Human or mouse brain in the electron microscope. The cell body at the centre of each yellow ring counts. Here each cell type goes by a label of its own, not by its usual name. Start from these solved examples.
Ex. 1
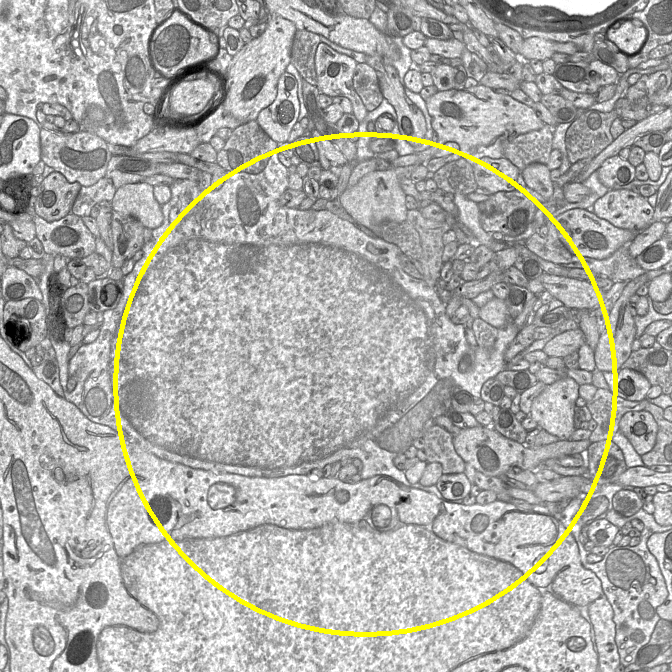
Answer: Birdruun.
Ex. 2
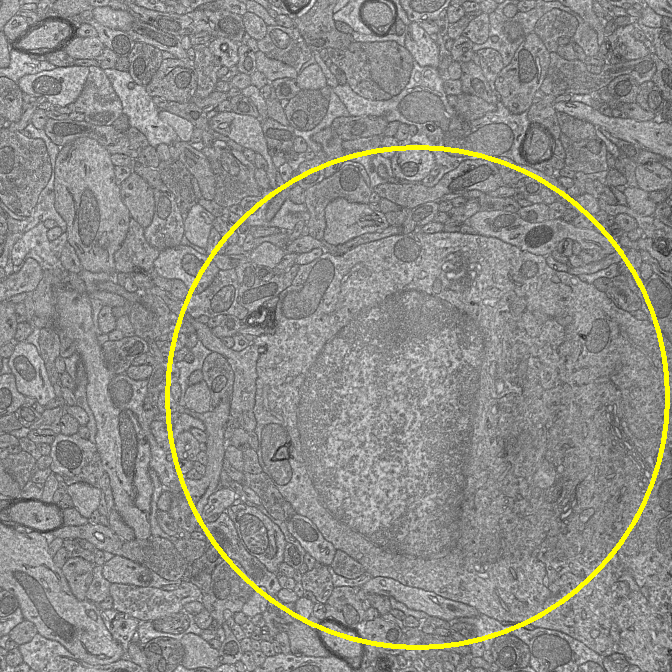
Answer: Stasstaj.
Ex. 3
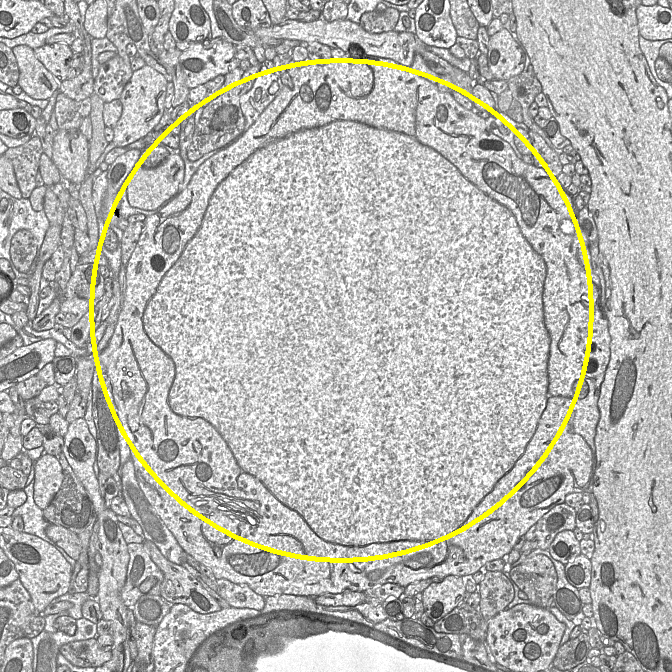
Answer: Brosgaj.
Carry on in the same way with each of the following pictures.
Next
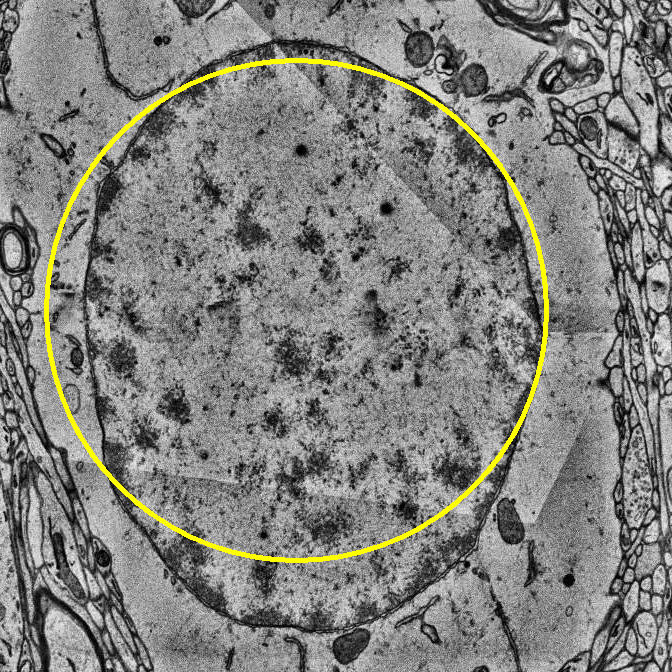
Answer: Birdruun.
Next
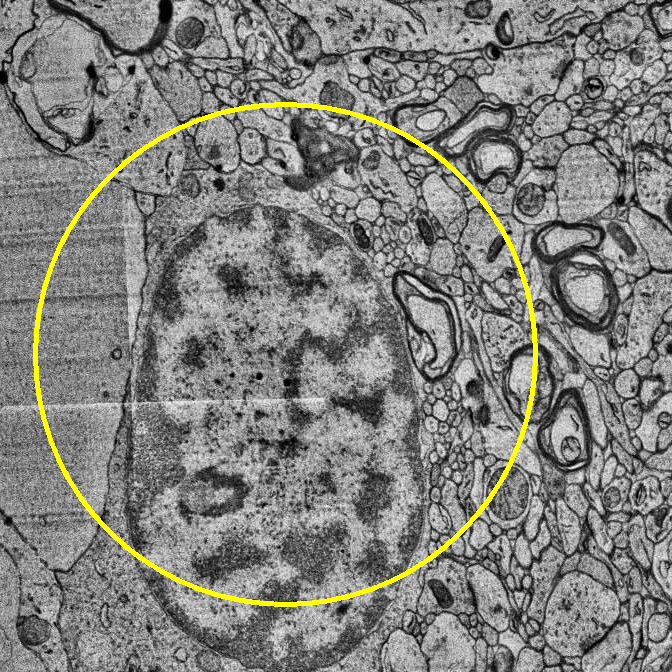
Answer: Stasstaj.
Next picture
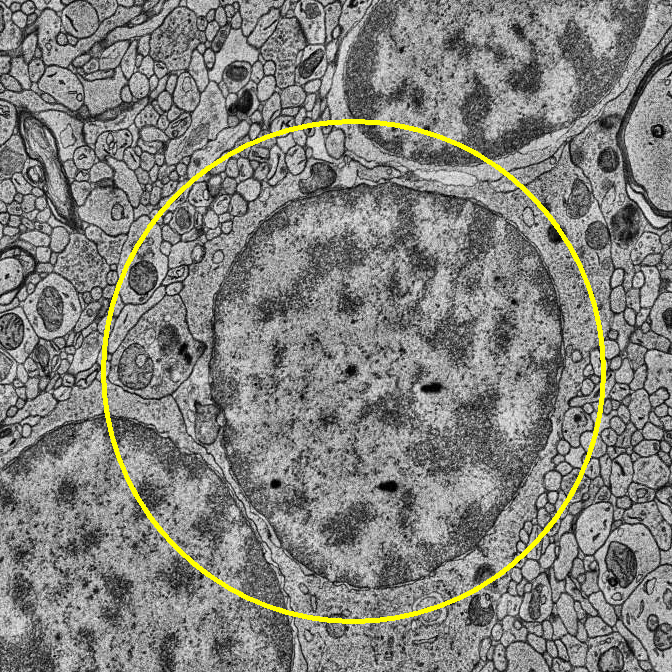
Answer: Stasstaj.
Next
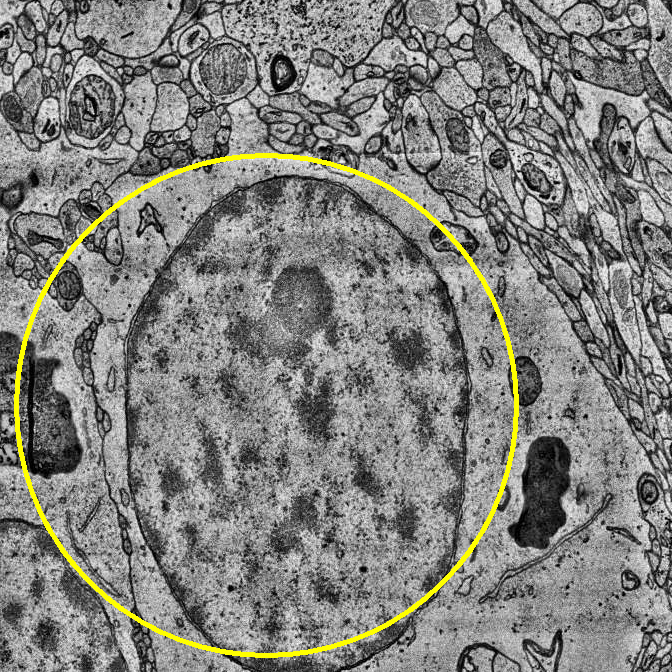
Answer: Birdruun.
